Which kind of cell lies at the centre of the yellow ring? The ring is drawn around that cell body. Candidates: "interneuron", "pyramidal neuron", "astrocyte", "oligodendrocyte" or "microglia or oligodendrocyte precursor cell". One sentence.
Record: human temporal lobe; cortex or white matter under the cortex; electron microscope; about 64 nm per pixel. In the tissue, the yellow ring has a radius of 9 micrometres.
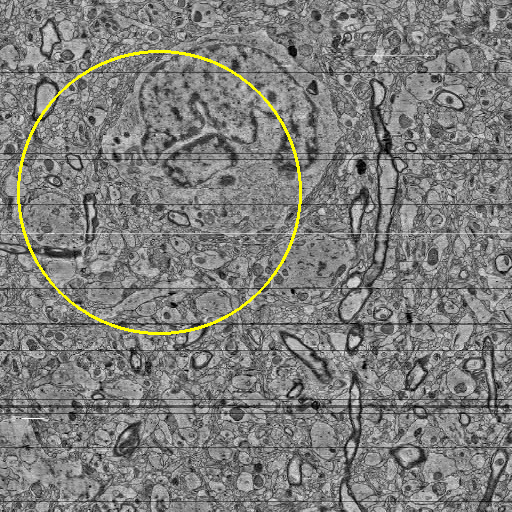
Lying at the centre of the ring is a microglial cell or oligodendrocyte precursor cell.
